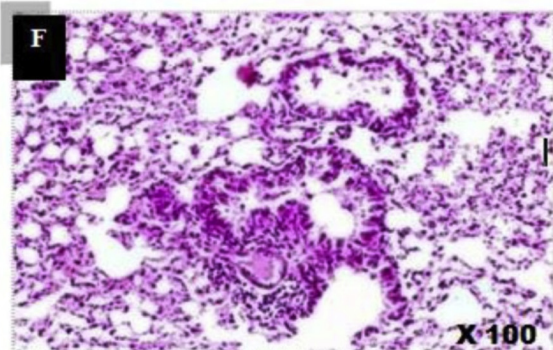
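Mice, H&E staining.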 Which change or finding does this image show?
Bronchioles with evident hyperplastic epithelial lining.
